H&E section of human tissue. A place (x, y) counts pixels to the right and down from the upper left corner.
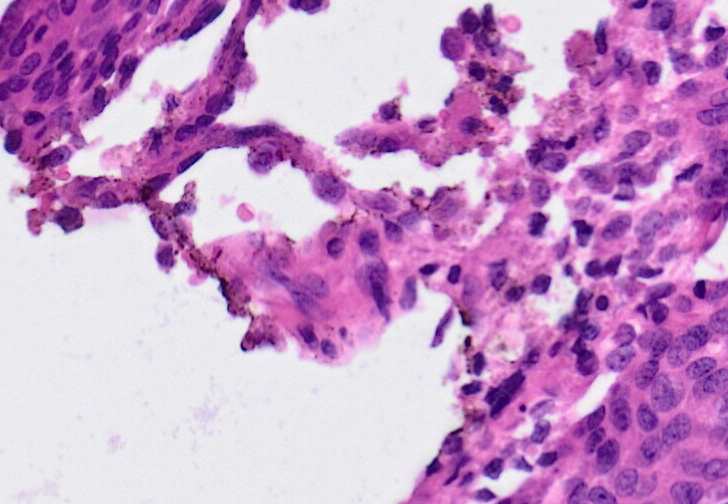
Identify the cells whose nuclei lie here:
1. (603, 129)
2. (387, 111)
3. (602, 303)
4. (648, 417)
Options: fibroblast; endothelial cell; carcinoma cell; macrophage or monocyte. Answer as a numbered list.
1. macrophage or monocyte
2. macrophage or monocyte
3. macrophage or monocyte
4. carcinoma cell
